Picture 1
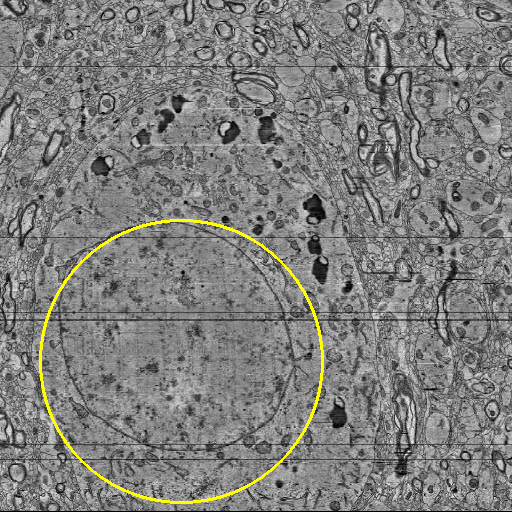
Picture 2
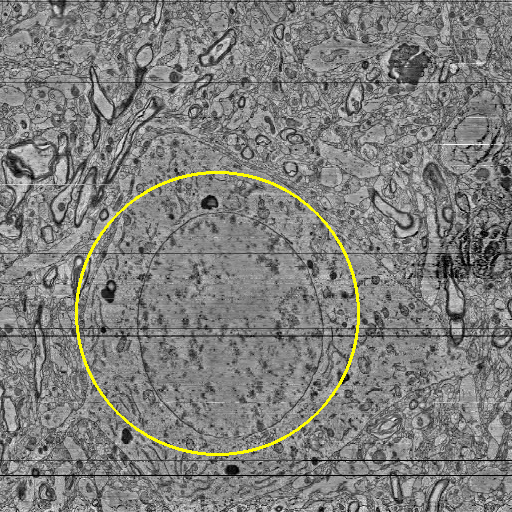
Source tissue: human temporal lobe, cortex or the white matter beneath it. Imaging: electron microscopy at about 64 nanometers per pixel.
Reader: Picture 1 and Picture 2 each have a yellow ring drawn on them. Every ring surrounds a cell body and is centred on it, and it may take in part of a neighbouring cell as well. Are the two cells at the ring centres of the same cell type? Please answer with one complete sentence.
Yes, both cells are of the same cell type.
